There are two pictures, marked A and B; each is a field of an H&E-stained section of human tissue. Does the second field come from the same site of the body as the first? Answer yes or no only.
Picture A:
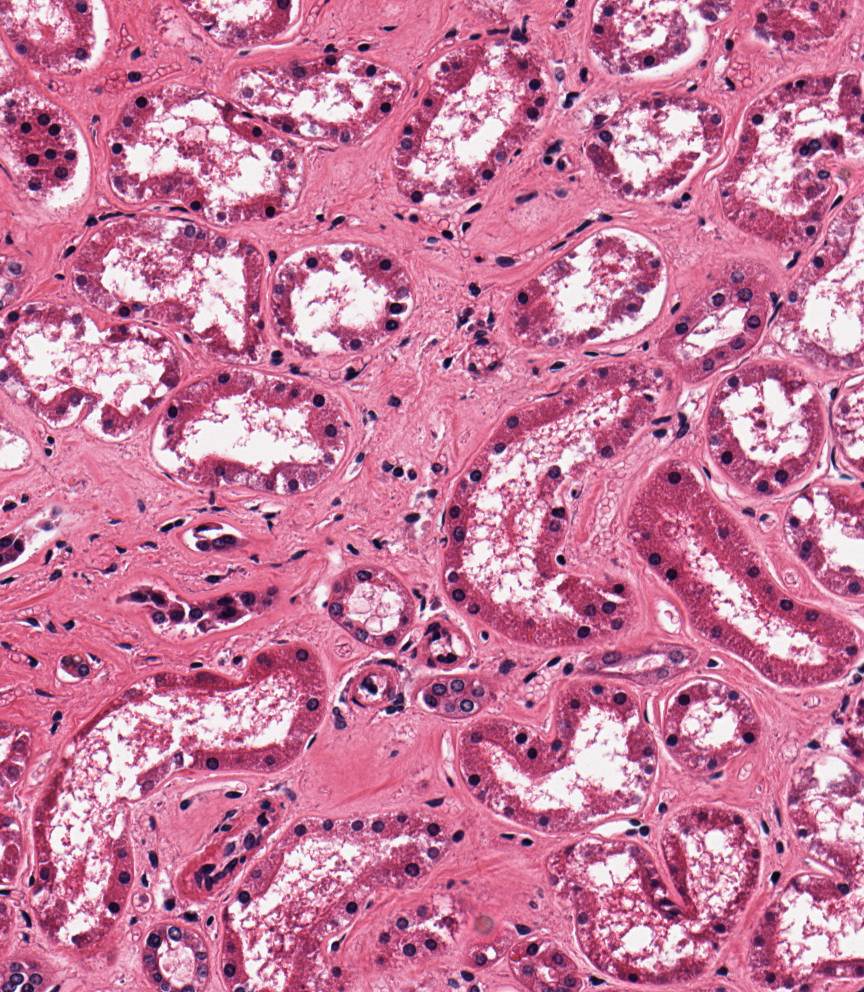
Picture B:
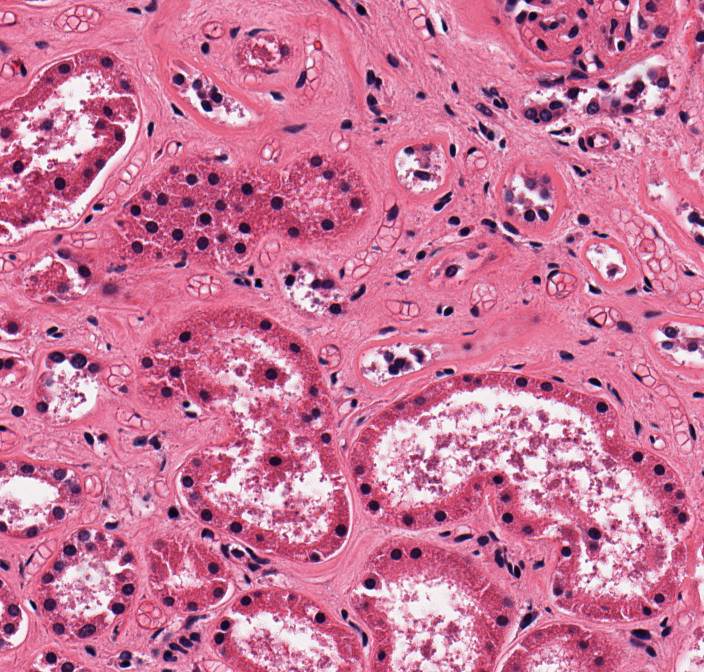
yes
